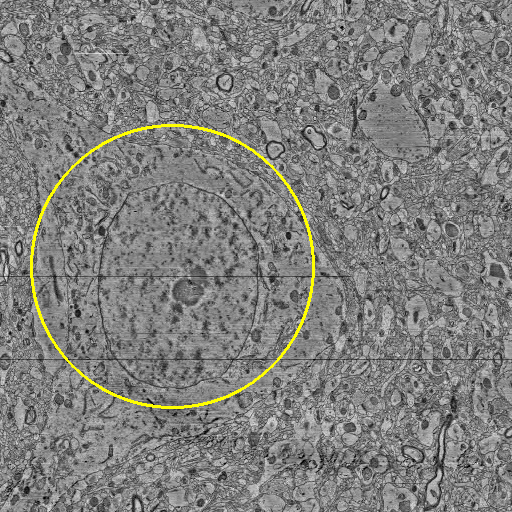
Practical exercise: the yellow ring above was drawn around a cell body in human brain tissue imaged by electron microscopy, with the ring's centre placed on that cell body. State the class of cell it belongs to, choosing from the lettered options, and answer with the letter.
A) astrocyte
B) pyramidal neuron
B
